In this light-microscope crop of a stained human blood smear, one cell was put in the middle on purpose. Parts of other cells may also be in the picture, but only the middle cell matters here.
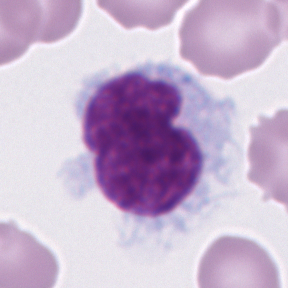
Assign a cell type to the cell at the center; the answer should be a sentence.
In short, the cell at the center is a hairy cell.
